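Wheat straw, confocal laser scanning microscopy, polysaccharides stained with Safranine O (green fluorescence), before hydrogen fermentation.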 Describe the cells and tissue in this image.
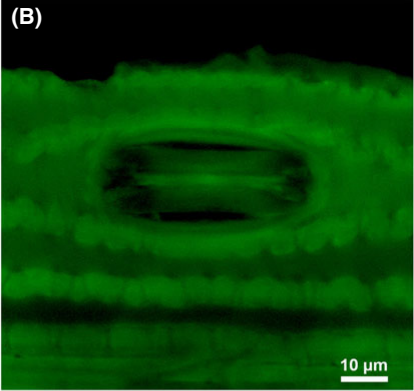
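The stoma is elliptical and lies in the centre, its long axis parallel to the cell rows. Above and below, horizontal rows of long cells are bordered by bright, slightly wavy green walls. The interiors of the cells appear dim, and no nuclei are seen.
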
